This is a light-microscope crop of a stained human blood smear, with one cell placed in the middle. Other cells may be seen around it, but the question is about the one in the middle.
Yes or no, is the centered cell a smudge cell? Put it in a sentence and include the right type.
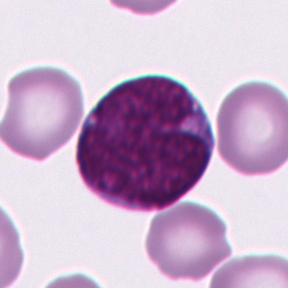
No, the centre of the crop is taken up by a myeloblast, not a smudge cell.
